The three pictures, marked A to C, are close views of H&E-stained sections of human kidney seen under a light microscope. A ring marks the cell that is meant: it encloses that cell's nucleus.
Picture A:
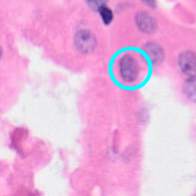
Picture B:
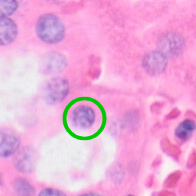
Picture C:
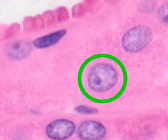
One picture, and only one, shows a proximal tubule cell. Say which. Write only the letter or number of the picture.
C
